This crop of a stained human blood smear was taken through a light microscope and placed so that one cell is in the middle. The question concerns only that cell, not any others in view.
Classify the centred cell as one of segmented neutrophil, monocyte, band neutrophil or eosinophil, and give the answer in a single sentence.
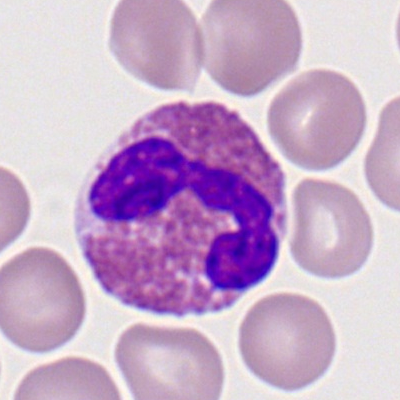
This particular crop is centered on an eosinophil.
